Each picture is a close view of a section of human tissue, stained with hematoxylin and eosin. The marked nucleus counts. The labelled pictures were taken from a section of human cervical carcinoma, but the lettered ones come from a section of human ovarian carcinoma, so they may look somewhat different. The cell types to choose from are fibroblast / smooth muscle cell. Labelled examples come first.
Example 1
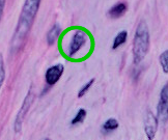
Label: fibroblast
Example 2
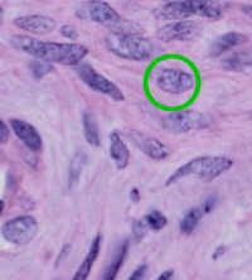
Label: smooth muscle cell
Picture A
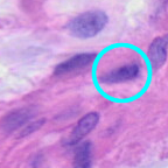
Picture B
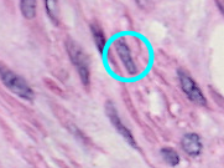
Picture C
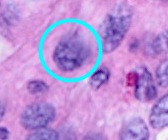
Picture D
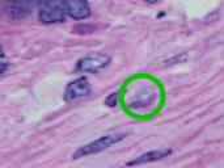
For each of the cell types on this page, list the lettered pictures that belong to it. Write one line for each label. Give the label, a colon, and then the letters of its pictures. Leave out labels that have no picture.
fibroblast: B, C, D
smooth muscle cell: A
